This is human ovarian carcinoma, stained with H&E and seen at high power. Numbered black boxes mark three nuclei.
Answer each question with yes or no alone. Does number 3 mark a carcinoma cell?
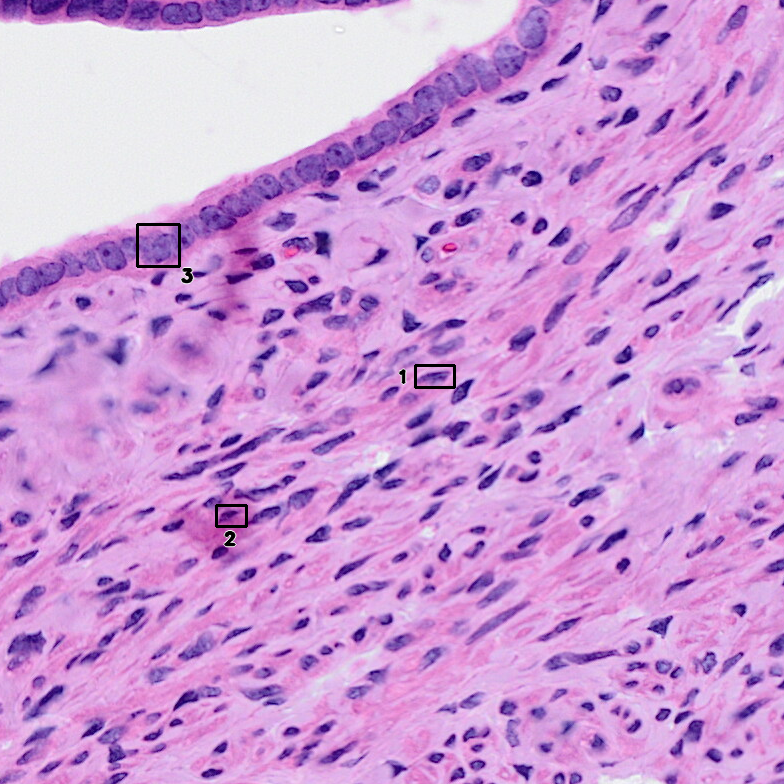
yes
